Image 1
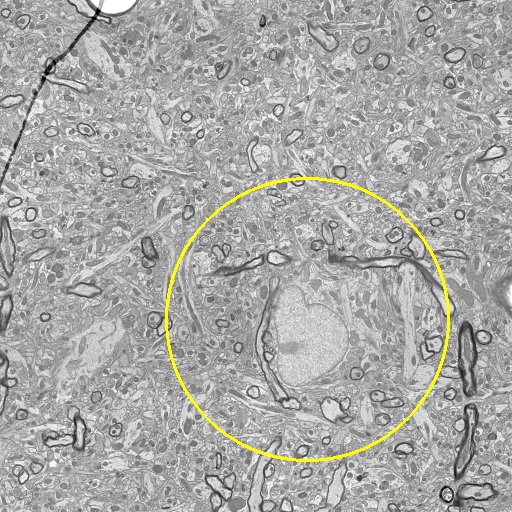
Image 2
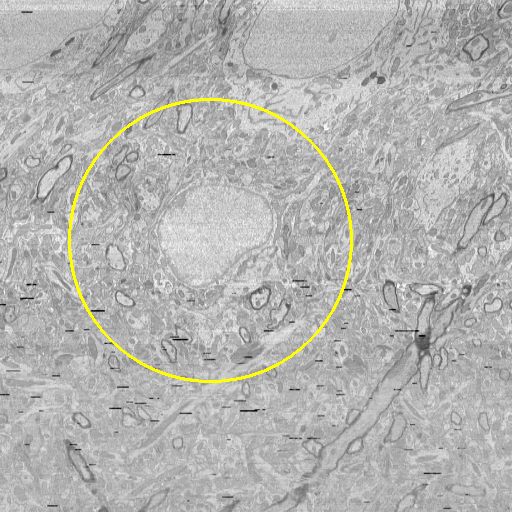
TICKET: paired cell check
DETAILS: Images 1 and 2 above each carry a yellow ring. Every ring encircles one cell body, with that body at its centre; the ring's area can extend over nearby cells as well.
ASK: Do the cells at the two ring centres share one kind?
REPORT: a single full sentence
Yes, the ring-centre cells of Images 1 and 2 belong to a single kind.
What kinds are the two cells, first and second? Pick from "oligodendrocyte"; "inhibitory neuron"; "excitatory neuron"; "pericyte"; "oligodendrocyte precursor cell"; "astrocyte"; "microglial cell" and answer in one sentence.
In each of the two pictures, the ringed cell is an astrocyte.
